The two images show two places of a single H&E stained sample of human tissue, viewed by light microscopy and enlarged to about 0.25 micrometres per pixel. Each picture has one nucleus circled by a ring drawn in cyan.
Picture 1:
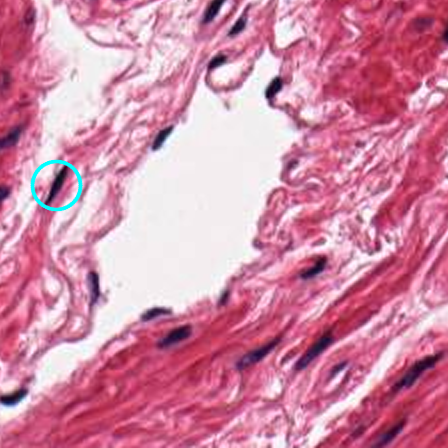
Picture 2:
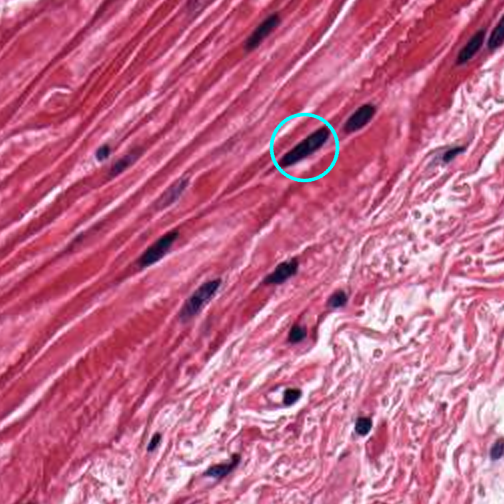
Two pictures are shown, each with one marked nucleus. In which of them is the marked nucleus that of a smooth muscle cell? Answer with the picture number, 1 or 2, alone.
2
